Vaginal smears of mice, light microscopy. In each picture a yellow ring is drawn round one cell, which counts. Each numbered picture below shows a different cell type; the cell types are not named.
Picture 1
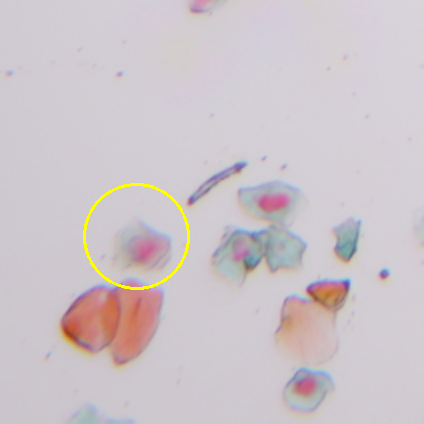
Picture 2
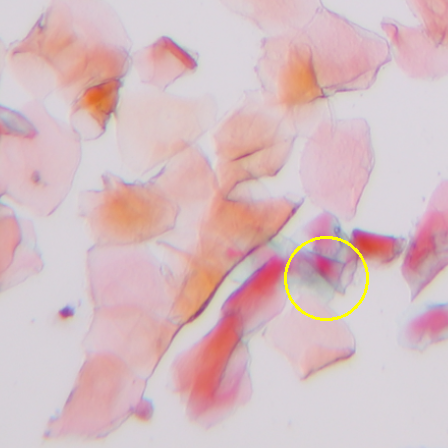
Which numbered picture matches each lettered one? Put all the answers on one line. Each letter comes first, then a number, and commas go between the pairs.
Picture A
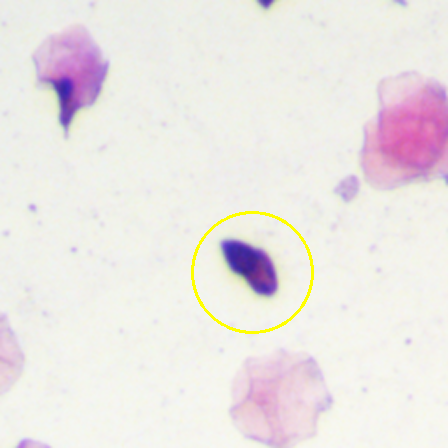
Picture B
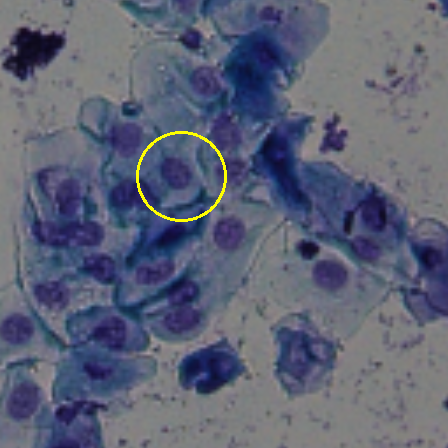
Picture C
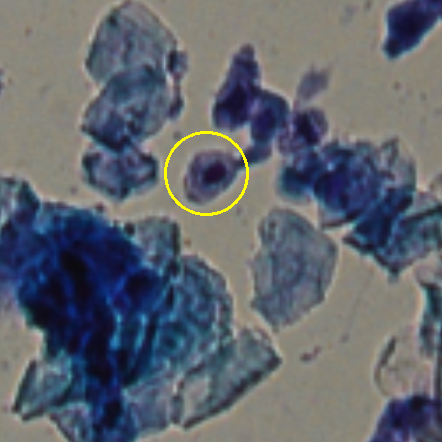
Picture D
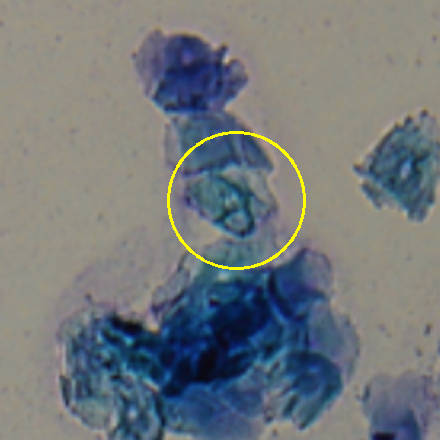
A 1, B 1, C 1, D 2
